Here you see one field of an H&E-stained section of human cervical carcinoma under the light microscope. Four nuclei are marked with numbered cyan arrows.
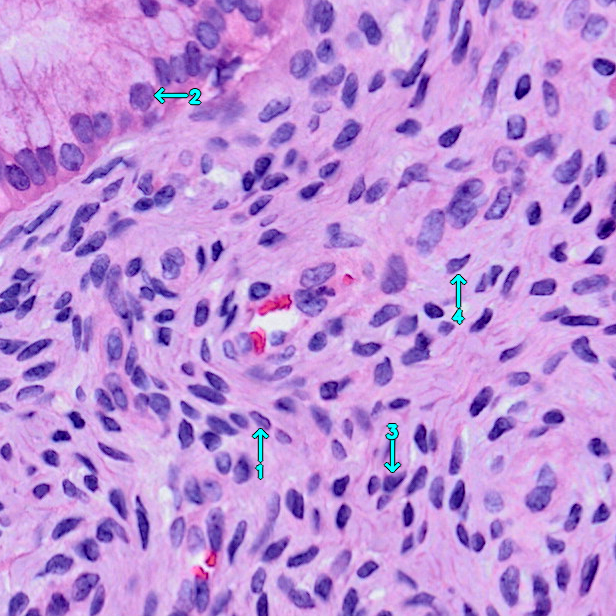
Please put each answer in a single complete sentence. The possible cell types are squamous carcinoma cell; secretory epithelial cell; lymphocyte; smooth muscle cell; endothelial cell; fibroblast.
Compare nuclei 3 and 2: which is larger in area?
Nucleus 2 covers more area, about 1.5 times as much as nucleus 3.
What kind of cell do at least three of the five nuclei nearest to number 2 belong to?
The majority of the five nuclei closest to number 2 belong to secretory epithelial cells.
